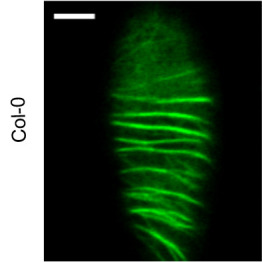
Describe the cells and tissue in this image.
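This confocal image shows a single elongated papilla cell, with green fluorescent filaments lying under its surface. The filaments run mostly across the long axis of the cell, parallel to one another like hoops. They are most distinct in the middle of the cell and fainter toward the rounded tip at the top.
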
